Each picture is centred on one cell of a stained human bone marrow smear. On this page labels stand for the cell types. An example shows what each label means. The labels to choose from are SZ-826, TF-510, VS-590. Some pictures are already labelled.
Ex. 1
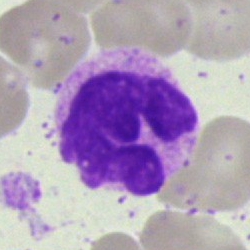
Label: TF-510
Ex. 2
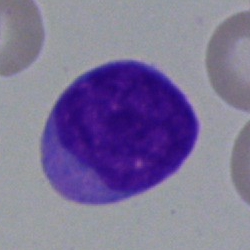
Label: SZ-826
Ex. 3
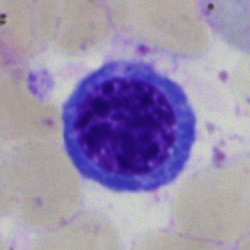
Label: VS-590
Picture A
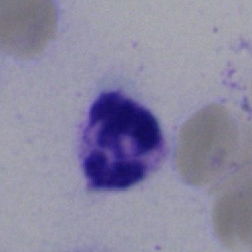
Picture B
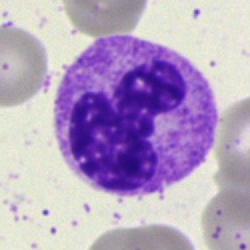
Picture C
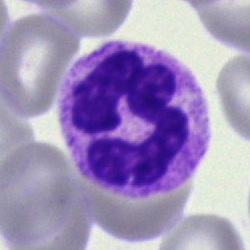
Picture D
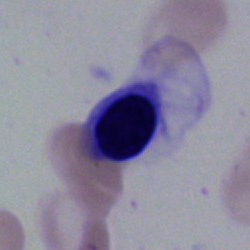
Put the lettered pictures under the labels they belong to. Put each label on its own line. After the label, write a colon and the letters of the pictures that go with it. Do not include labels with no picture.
TF-510: A, B, C
VS-590: D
